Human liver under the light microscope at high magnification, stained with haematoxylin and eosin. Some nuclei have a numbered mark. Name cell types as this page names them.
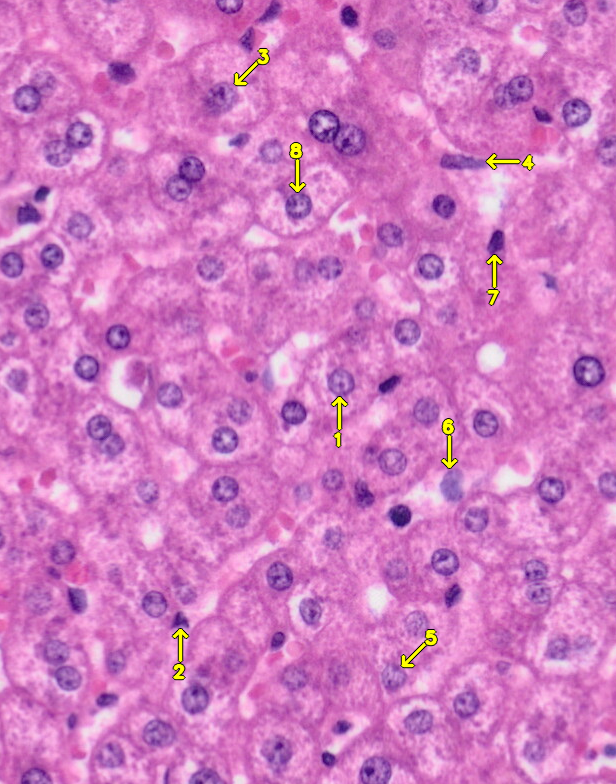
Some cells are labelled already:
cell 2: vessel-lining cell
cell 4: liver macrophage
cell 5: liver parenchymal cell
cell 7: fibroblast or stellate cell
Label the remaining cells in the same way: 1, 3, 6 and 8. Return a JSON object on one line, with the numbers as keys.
{"1": "liver parenchymal cell", "3": "liver parenchymal cell", "6": "vessel-lining cell", "8": "liver parenchymal cell"}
